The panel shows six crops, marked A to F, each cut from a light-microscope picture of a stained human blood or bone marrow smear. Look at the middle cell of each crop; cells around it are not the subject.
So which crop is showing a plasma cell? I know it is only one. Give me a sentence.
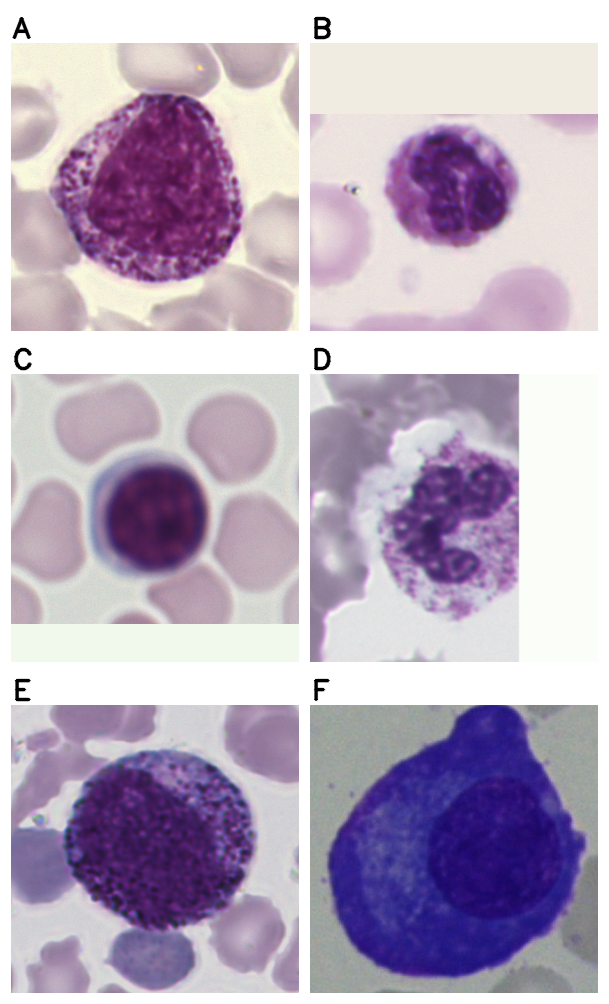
The crop that has a plasma cell in the middle is crop F.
